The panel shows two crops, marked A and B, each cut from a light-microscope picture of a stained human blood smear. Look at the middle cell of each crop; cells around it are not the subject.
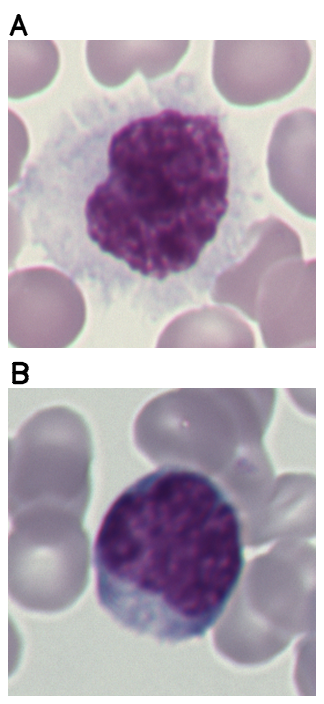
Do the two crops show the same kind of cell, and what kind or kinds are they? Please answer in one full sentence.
No, crop A captures a hairy cell; meanwhile crop B captures a typical lymphocyte.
